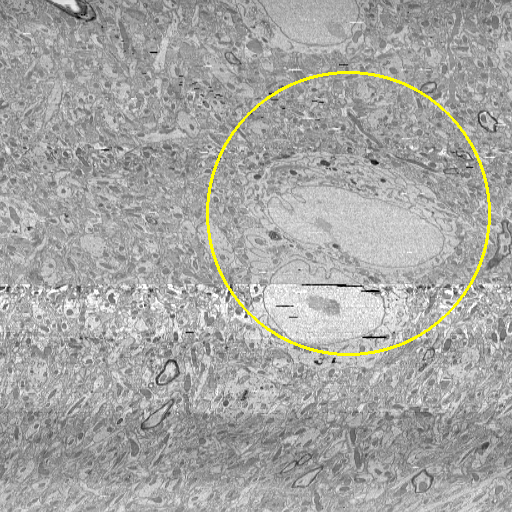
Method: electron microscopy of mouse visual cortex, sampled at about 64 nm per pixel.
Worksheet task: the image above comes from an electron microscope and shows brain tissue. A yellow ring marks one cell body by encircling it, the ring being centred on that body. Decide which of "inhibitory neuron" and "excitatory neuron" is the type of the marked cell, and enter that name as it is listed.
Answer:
inhibitory neuron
